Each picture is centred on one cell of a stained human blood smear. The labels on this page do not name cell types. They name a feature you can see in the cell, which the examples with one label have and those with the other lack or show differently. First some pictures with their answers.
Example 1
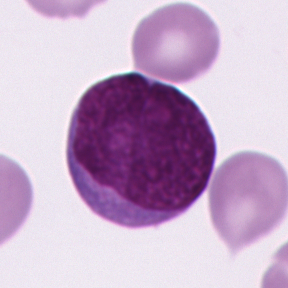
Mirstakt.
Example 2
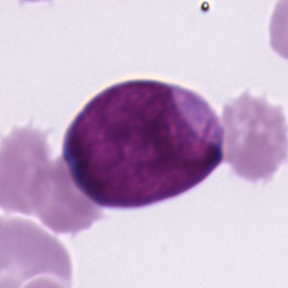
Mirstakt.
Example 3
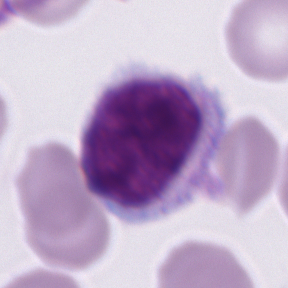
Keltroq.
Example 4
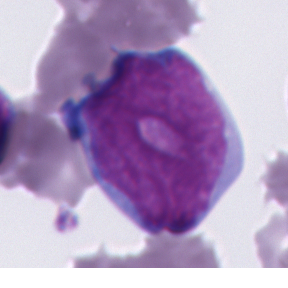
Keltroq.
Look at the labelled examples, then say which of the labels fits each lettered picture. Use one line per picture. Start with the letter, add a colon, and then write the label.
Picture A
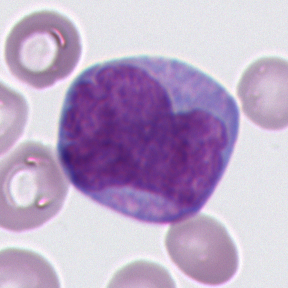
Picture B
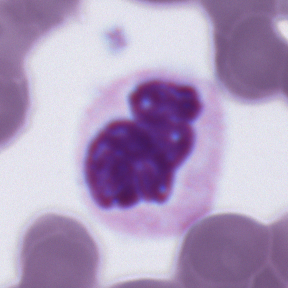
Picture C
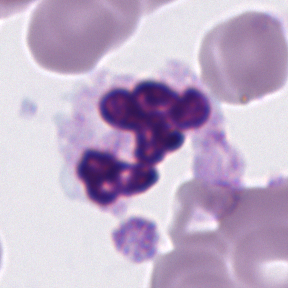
A: Mirstakt.
B: Mirstakt.
C: Keltroq.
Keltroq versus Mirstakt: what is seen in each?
Keltroq, ragged outline or projections; Mirstakt, smooth outline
